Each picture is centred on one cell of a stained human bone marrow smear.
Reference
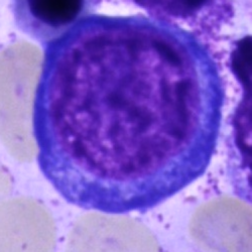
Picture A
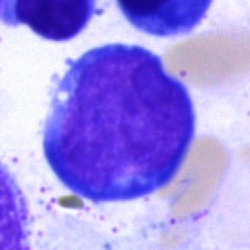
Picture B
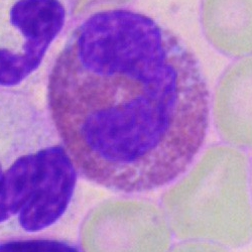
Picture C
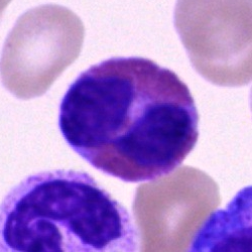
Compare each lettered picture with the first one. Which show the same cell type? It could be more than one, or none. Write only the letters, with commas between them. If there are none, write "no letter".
A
